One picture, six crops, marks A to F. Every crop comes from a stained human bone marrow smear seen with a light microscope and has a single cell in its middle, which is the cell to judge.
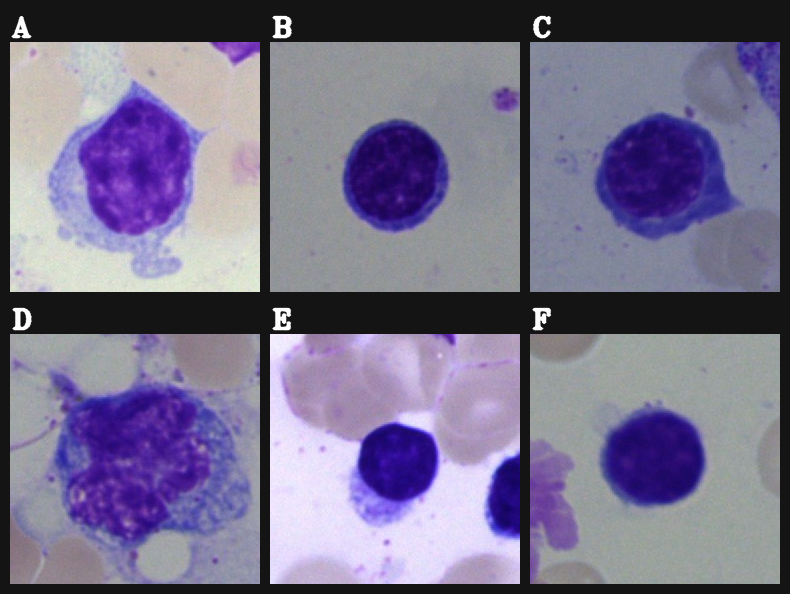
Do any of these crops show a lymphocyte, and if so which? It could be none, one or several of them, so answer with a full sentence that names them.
Showing lymphocytes at the centre are crops A, B, E and F.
